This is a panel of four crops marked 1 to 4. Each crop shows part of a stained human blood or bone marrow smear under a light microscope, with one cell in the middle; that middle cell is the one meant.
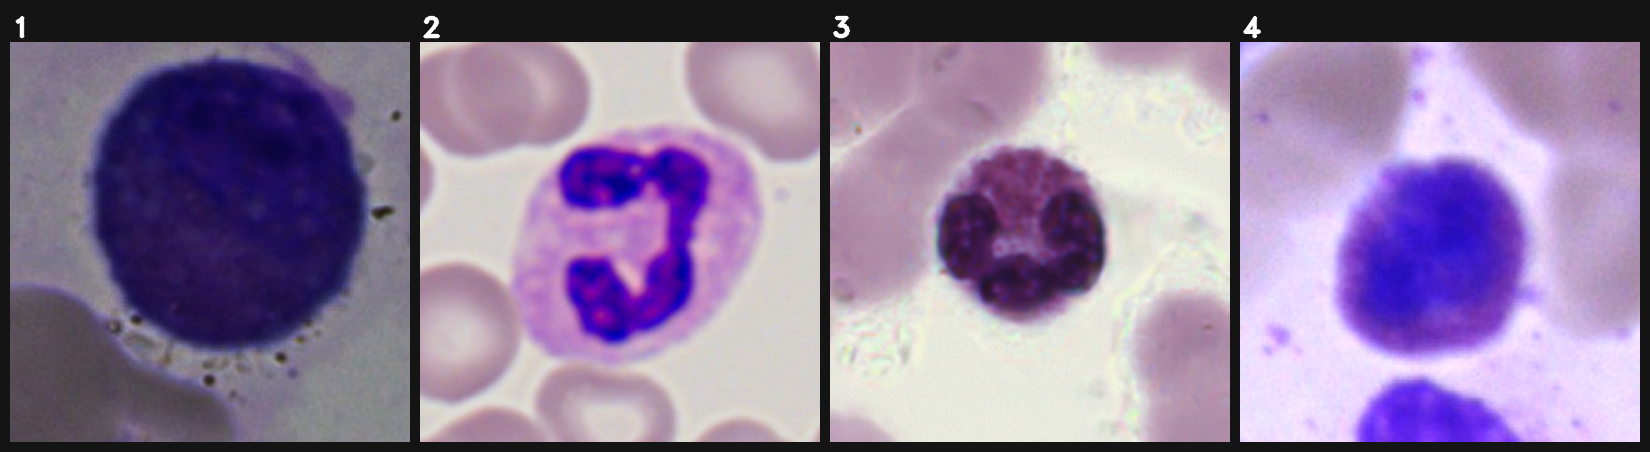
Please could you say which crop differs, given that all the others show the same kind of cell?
2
